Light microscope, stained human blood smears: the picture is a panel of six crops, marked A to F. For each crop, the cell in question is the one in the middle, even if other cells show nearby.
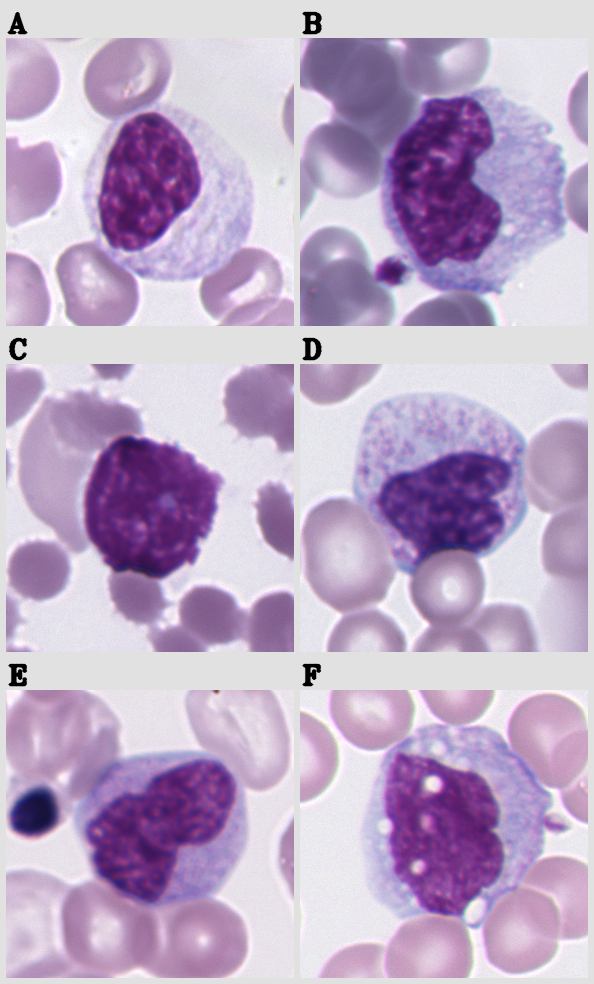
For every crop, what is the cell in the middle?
A: metamyelocyte
B: monocyte
C: smudge cell
D: band neutrophil
E: monocyte
F: monocyte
